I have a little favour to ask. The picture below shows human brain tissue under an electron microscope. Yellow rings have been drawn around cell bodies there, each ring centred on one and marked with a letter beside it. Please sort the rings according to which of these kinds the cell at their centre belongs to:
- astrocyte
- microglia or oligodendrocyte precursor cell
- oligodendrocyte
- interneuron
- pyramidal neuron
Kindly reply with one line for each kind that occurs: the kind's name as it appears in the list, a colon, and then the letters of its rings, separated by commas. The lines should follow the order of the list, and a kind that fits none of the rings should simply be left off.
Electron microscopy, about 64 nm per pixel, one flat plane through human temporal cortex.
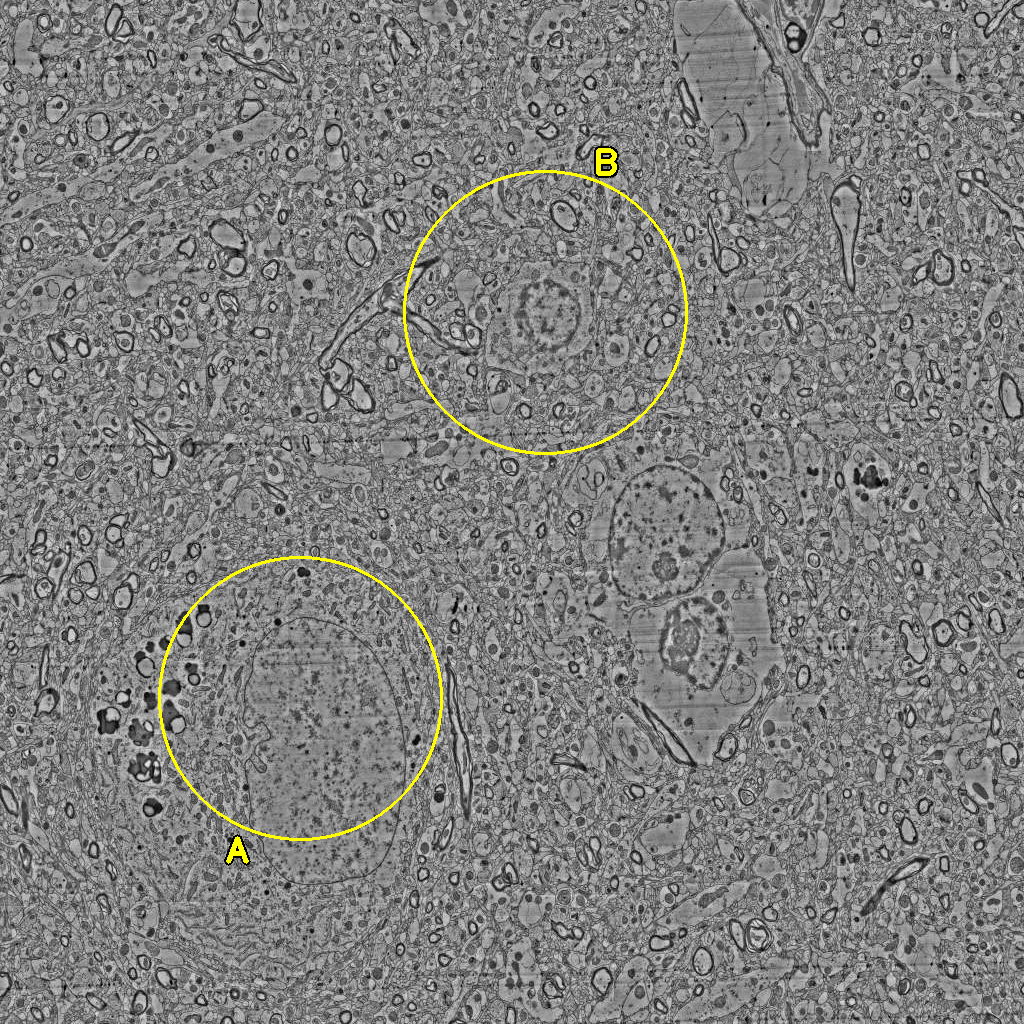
interneuron: B
pyramidal neuron: A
